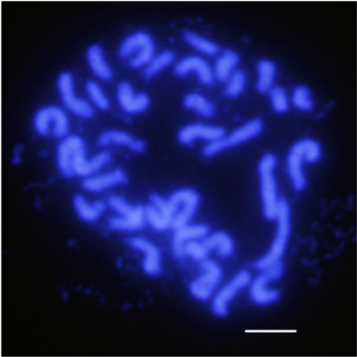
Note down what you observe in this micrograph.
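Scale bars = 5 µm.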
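This is a spread of mitotic chromosomes, seen as many separate condensed bodies glowing blue on a dark background. The chromosomes are numerous and fairly long, and many are curved or bent. Faint specks of blue lie in the background around the cluster.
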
